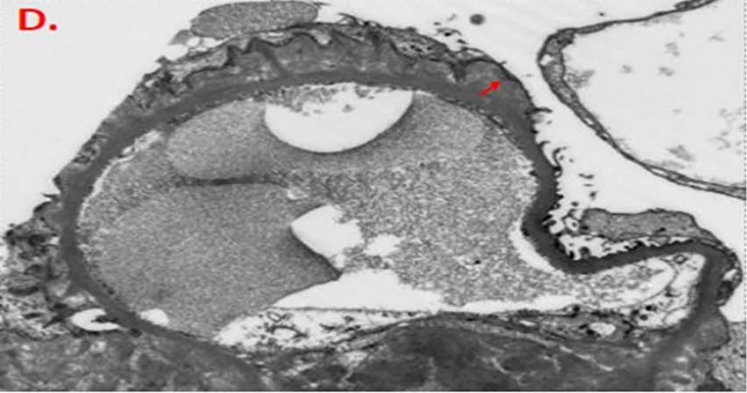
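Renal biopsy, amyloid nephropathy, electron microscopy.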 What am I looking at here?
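A large rounded glomerular capillary loop fills the field, its lumen occupied by grey granular material and rounded bodies. Its wall is a thick, dark band with an irregular, ragged outer contour bearing small projections. Beside it lies a pale space with another thin-walled loop at the edge.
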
